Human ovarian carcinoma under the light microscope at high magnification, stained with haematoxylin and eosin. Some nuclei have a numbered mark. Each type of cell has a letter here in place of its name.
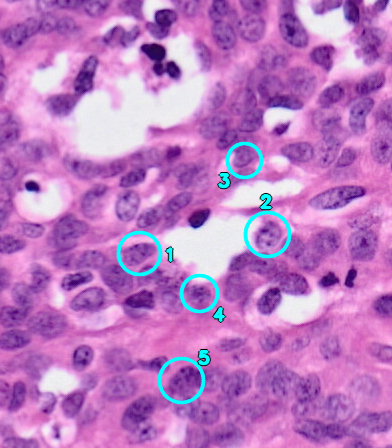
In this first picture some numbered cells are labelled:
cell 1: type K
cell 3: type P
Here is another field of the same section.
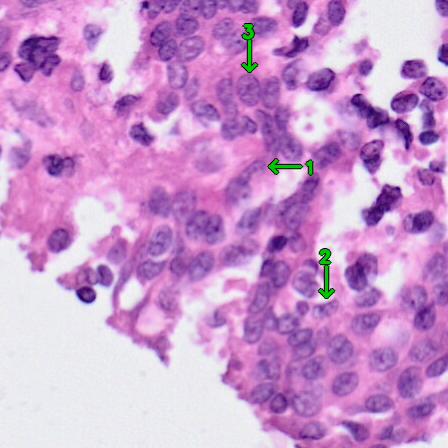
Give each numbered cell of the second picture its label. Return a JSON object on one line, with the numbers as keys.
{"1": "type P", "2": "type K", "3": "type P"}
